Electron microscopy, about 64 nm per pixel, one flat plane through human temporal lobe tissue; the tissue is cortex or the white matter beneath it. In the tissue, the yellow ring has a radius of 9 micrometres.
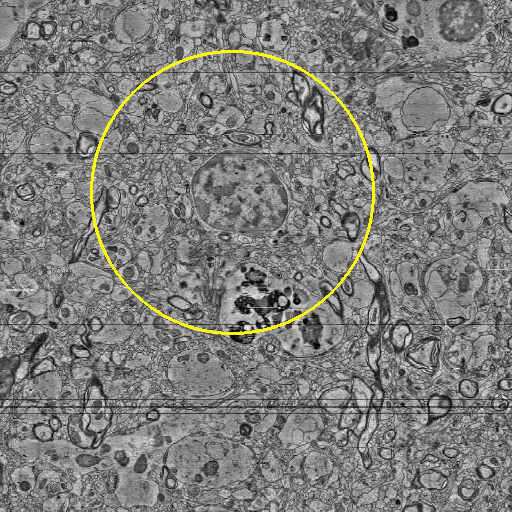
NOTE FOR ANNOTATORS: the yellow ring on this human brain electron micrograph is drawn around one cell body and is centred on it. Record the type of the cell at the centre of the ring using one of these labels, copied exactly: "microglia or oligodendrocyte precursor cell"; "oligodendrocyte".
microglia or oligodendrocyte precursor cell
